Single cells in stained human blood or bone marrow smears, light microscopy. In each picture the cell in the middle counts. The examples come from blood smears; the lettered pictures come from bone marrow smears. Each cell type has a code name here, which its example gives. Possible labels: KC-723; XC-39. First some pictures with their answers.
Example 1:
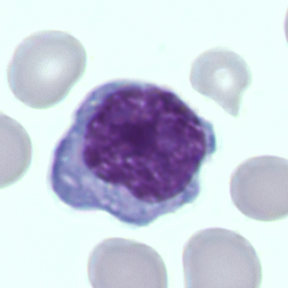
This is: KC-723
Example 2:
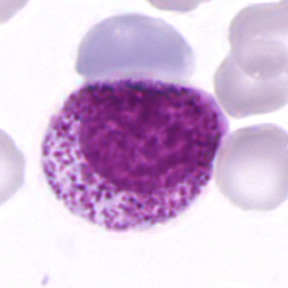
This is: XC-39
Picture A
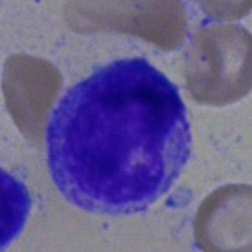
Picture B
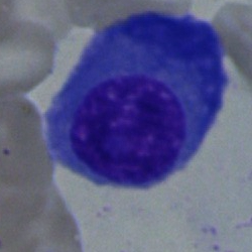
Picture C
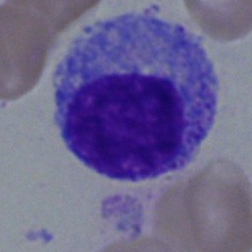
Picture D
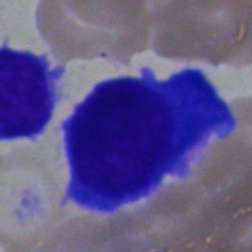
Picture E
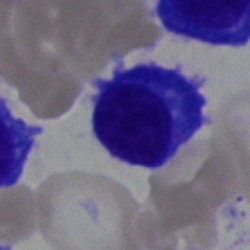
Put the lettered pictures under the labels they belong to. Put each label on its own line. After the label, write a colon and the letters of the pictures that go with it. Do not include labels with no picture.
KC-723: B, D, E
XC-39: A, C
